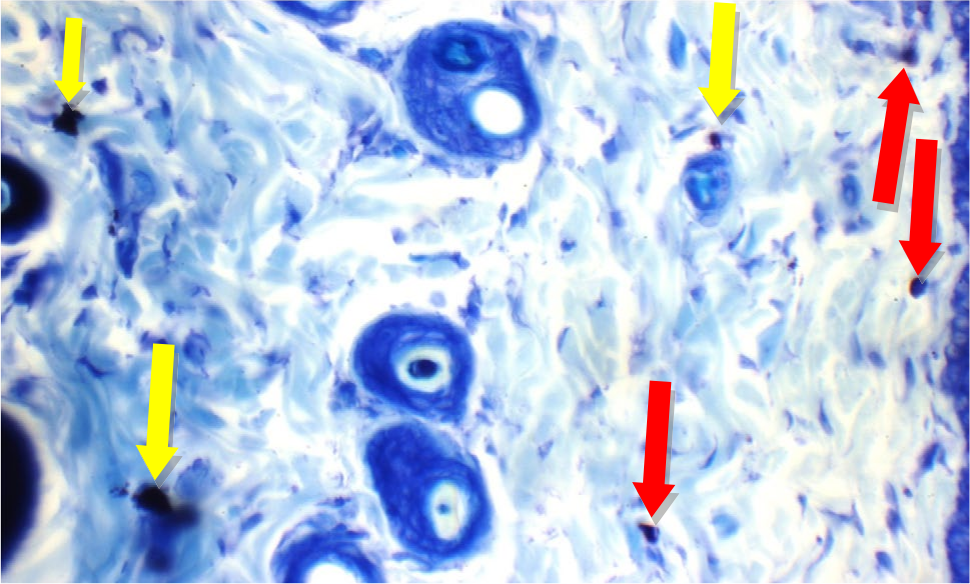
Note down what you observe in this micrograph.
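This section of skin shows the dermis, with mast cells scattered through the loose pale blue connective tissue. The mast cells are small and compact. Some mast cells lie in the superficial dermis near the thin surface layer of cells at the right edge. Others lie beside round, deep blue adnexal structures cut in cross section, several of which have a clear central opening.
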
